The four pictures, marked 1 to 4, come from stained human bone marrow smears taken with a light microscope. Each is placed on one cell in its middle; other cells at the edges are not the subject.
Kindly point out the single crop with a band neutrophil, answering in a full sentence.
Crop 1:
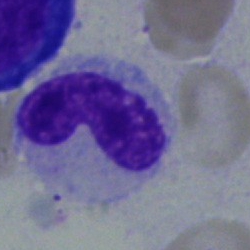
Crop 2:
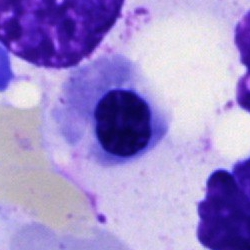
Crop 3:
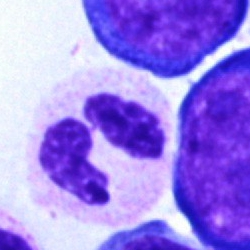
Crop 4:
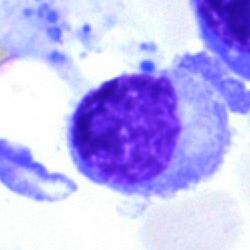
Of all the crops, crop 1 is the one showing a band neutrophil.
